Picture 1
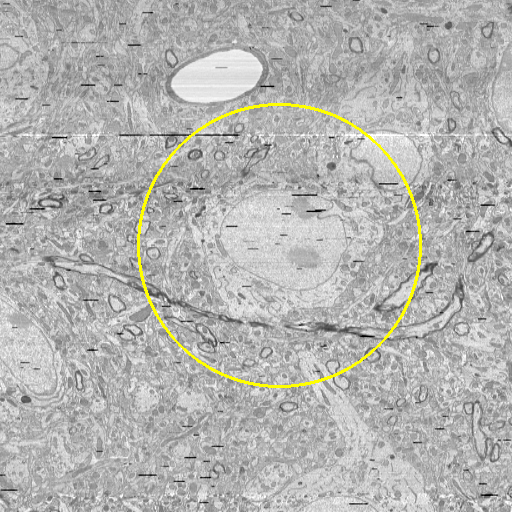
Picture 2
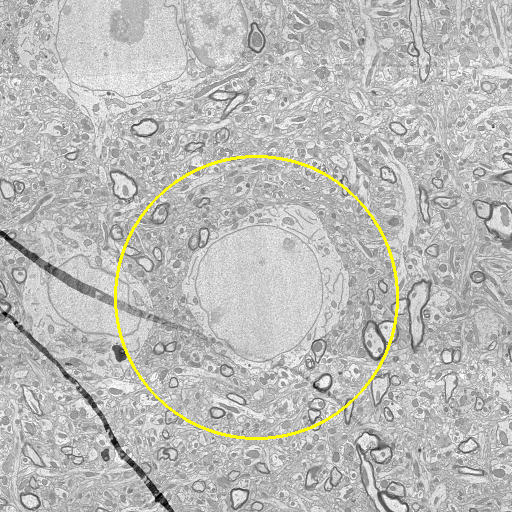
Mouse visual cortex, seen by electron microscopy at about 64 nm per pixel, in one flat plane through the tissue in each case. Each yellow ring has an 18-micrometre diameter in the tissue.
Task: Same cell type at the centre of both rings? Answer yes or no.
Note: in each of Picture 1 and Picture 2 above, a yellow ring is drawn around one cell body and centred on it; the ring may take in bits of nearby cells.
yes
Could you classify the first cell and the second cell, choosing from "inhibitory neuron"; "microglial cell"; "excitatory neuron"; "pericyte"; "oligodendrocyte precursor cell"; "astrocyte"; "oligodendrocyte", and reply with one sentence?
Each cell at the centre of a ring is an excitatory neuron.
